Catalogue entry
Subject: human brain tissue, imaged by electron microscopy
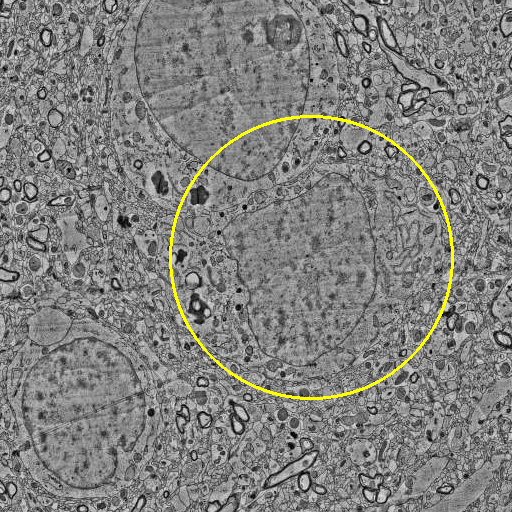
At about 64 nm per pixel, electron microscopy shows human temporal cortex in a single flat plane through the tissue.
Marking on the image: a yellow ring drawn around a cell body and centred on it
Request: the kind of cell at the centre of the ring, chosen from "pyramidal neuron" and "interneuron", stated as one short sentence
The ring has a pyramidal neuron at its centre.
